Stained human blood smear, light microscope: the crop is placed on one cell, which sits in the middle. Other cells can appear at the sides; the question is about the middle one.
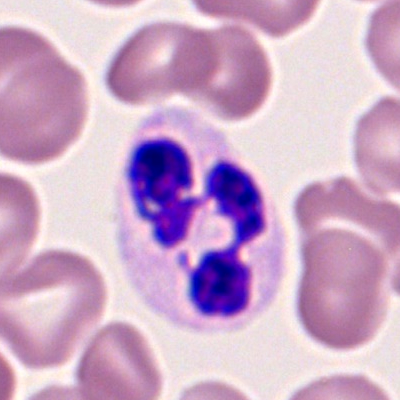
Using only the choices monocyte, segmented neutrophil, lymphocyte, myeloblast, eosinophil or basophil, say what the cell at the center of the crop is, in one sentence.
In the central position of this crop, the cell is a segmented neutrophil.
